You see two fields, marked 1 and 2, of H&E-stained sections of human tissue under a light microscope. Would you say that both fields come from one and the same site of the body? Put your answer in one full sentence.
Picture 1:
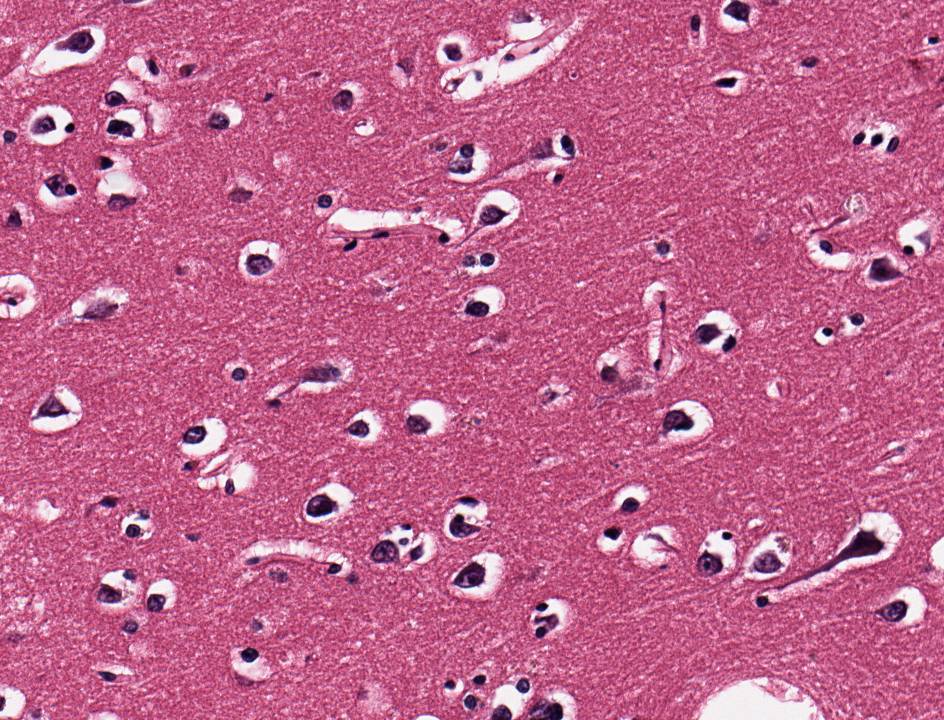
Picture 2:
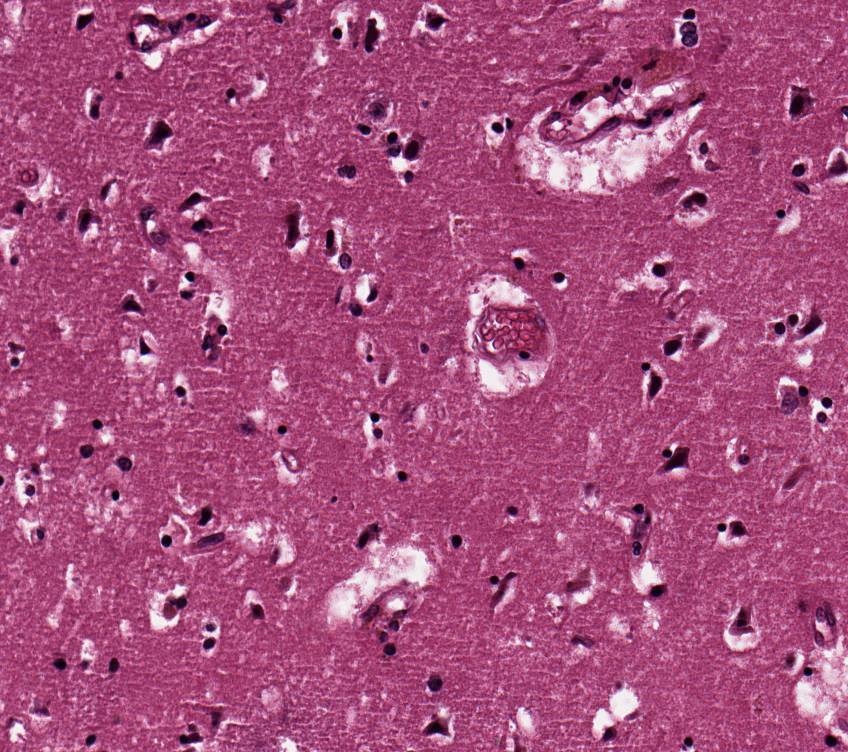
Yes, both come from the cerebral cortex.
